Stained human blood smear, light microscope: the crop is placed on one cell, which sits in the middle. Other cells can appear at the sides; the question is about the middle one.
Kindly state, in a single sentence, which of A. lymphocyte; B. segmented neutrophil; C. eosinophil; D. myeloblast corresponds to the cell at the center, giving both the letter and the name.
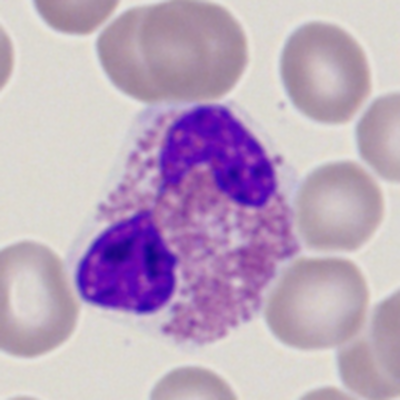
The central cell is an eosinophil, which makes option C the right answer.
